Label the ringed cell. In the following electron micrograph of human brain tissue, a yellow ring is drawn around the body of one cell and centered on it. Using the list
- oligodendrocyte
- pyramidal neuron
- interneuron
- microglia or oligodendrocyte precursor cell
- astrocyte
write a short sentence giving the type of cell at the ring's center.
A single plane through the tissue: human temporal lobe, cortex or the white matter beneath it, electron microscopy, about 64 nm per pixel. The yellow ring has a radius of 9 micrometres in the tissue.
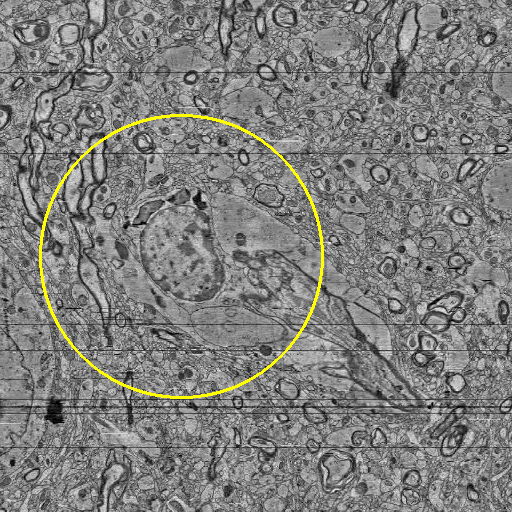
The cell body at the ring's center is that of a microglial cell or oligodendrocyte precursor cell.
